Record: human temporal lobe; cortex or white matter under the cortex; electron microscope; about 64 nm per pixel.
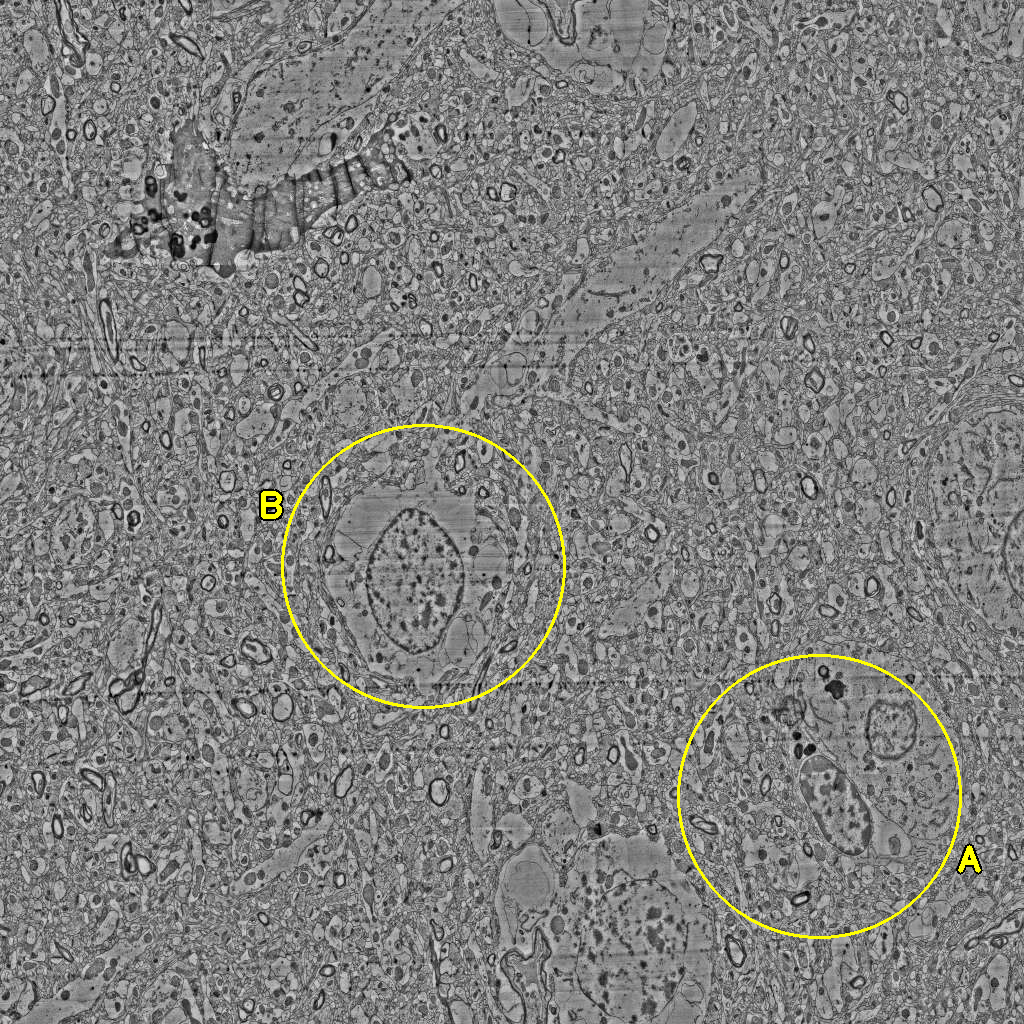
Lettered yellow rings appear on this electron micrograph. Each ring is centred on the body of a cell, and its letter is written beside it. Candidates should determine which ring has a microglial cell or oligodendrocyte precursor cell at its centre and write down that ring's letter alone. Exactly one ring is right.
A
